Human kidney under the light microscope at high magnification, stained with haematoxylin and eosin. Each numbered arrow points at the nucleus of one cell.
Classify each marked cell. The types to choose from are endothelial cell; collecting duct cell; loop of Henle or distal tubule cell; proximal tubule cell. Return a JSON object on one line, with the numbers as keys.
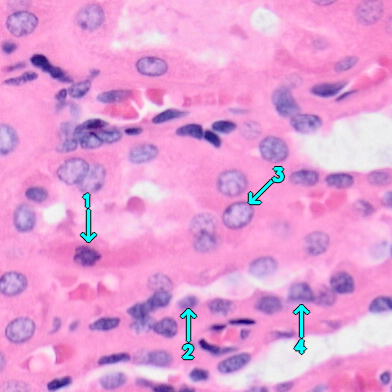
{"1": "proximal tubule cell", "2": "loop of Henle or distal tubule cell", "3": "proximal tubule cell", "4": "loop of Henle or distal tubule cell"}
